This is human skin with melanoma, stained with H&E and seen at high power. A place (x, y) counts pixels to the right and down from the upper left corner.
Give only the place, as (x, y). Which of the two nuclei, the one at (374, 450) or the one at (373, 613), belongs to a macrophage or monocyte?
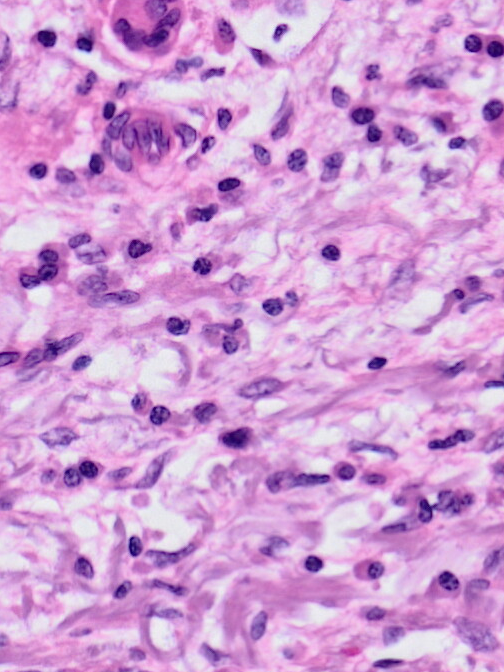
(373, 613)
